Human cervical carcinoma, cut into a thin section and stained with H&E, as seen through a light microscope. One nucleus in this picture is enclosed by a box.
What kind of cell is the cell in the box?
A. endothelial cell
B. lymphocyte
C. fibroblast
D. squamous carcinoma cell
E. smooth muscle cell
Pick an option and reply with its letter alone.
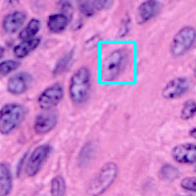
D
